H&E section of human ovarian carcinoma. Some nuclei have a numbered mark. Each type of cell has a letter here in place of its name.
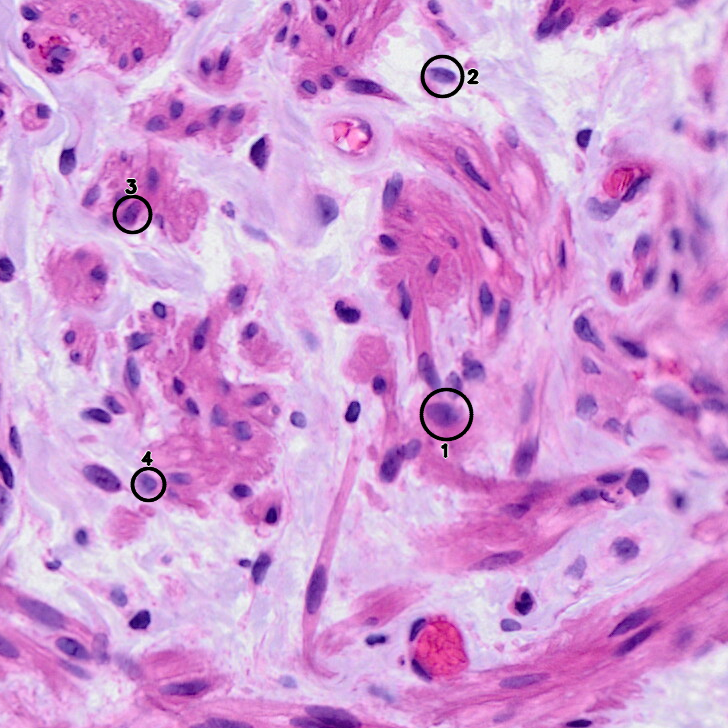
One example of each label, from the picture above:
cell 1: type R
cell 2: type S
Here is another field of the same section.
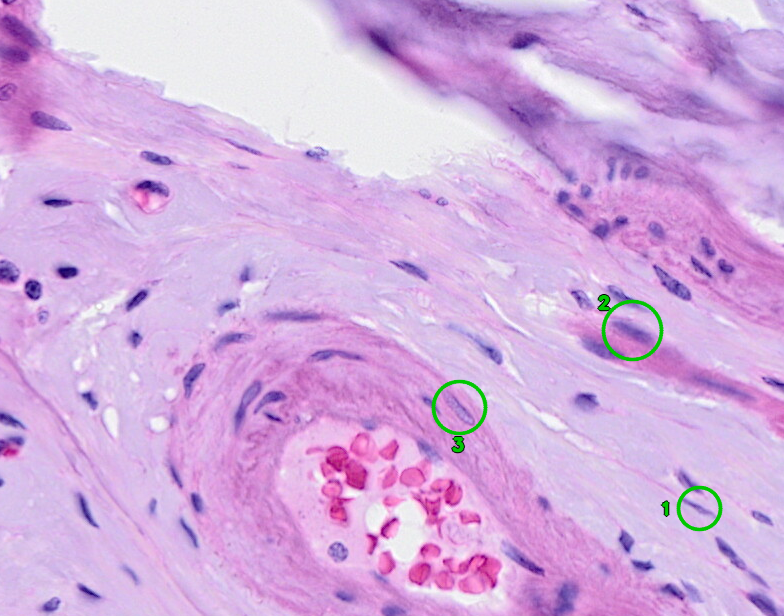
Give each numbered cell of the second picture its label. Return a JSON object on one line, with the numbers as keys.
{"1": "type S", "2": "type R", "3": "type R"}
